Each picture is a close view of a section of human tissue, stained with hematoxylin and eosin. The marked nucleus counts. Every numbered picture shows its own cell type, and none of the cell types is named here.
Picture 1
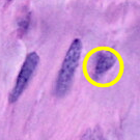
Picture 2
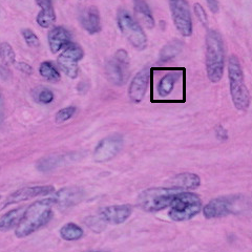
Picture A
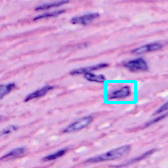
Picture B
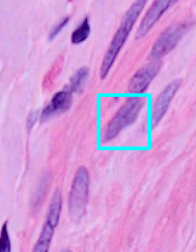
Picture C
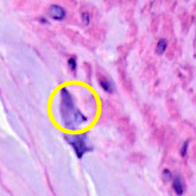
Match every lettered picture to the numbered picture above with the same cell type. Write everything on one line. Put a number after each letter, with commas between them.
A 1, B 2, C 1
